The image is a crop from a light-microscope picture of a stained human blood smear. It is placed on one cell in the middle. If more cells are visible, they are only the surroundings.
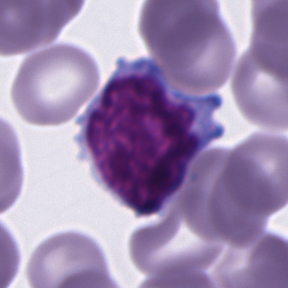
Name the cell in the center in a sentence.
Seen at the centre of the crop is a typical lymphocyte.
